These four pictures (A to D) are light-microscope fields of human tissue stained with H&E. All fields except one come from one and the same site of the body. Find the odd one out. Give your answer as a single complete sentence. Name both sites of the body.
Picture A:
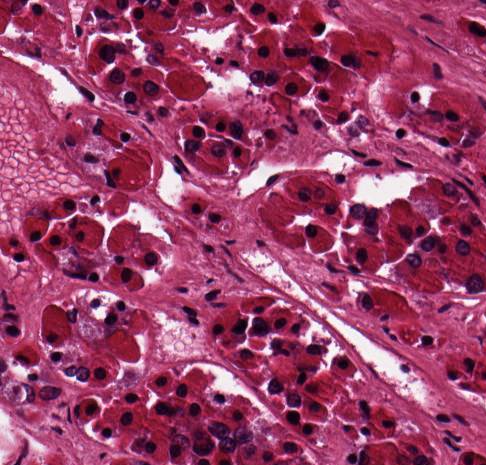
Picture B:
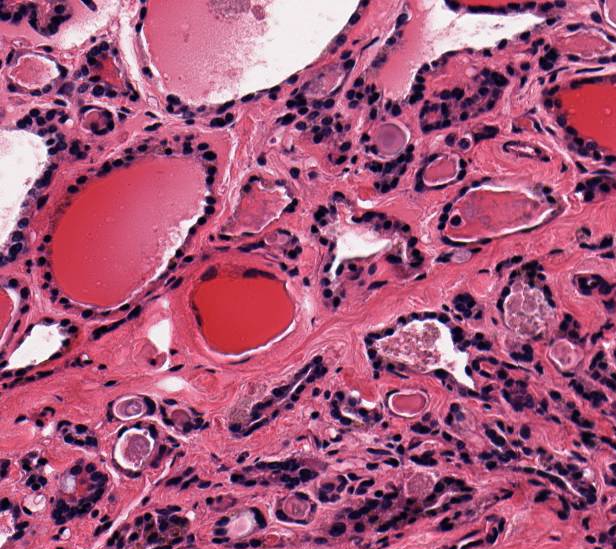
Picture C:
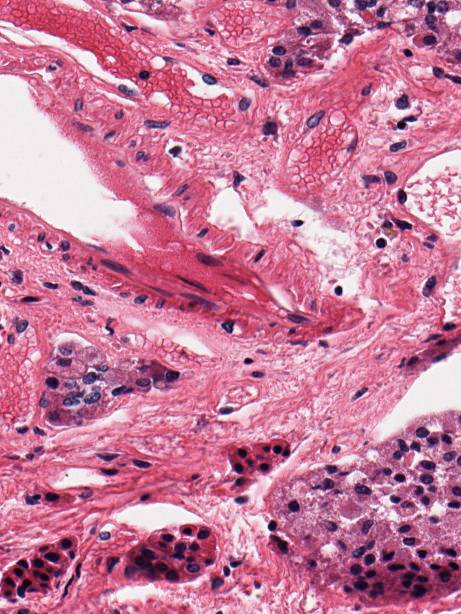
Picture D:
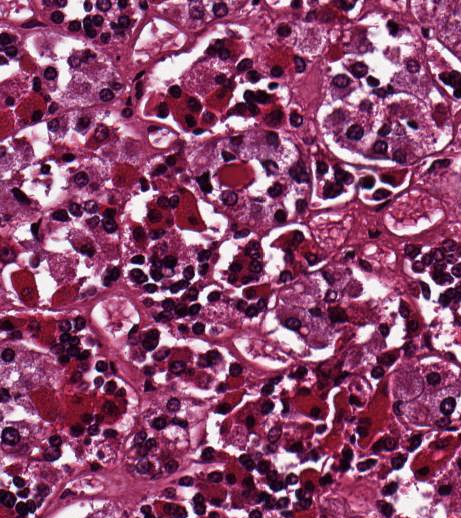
All pictures except B come from the pituitary; picture B comes from the thyroid.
